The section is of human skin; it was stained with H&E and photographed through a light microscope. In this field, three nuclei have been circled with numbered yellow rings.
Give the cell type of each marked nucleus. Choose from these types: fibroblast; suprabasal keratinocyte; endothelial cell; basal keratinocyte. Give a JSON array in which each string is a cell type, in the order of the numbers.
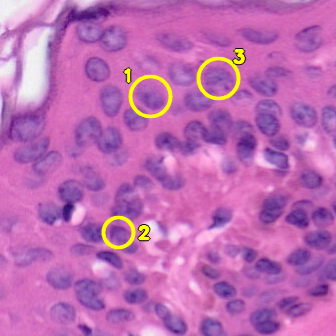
["suprabasal keratinocyte", "basal keratinocyte", "suprabasal keratinocyte"]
